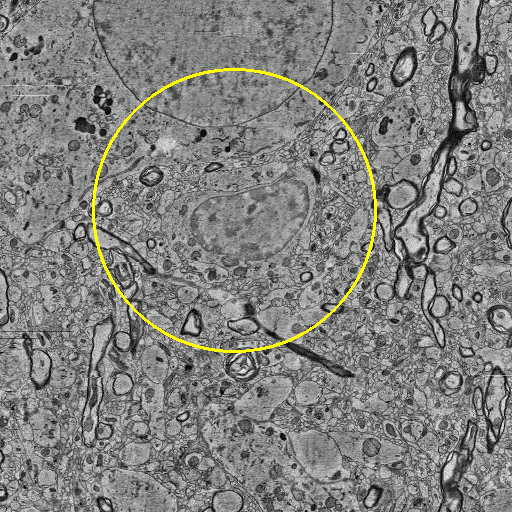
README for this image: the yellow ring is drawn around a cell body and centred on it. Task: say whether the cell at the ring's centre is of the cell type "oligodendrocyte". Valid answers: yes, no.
yes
